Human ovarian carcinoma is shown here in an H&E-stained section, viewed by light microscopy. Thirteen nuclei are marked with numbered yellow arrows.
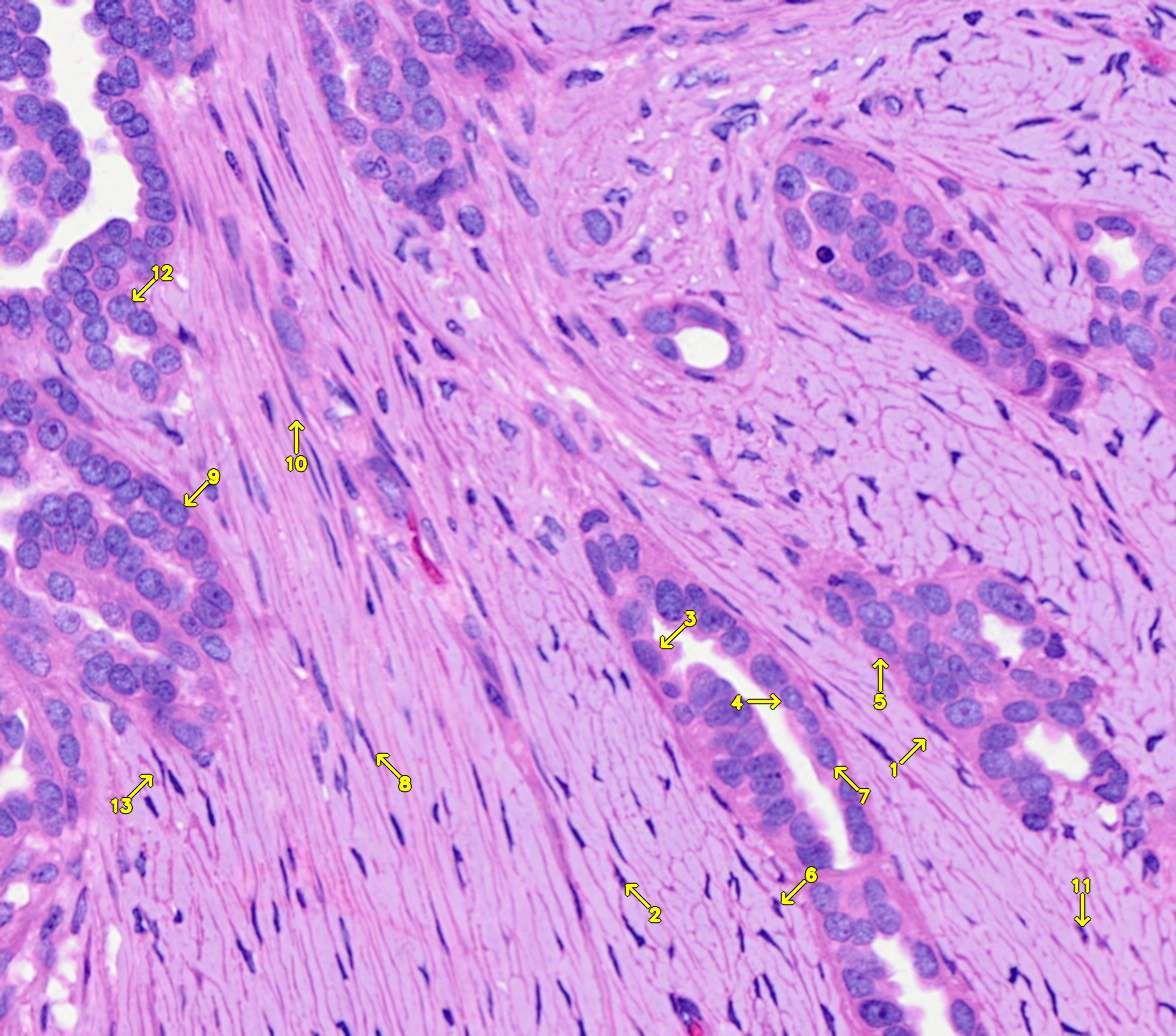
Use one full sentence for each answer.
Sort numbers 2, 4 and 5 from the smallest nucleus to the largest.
The order from the smallest nucleus to the largest is 2, 4, 5.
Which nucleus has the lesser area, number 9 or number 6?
With nucleus 9 about 4 times its size, nucleus 6 is the smaller of the two.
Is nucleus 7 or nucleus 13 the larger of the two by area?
Nucleus 7 covers more area, about 4 times as much as nucleus 13.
